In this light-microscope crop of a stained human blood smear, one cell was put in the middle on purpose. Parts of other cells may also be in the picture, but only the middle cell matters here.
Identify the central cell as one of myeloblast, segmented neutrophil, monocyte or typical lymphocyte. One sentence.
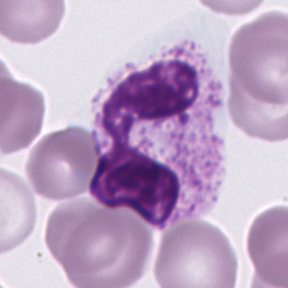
The cell at the centre of the field is a segmented neutrophil.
